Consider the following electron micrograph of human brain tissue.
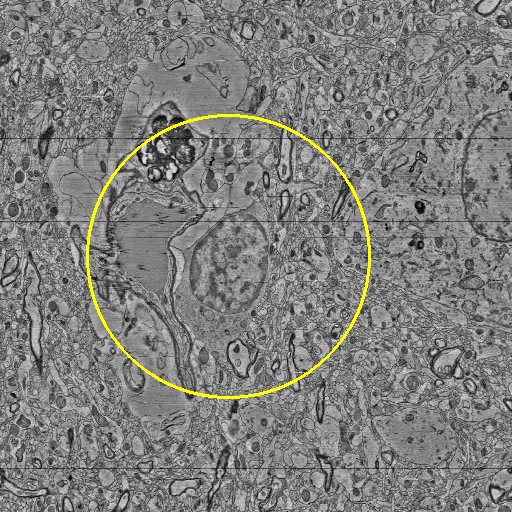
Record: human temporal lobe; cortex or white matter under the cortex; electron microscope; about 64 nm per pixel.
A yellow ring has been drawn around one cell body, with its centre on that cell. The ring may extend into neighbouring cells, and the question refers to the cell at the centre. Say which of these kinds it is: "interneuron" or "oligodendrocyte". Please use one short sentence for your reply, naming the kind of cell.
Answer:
The centre of the ring falls on an oligodendrocyte.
